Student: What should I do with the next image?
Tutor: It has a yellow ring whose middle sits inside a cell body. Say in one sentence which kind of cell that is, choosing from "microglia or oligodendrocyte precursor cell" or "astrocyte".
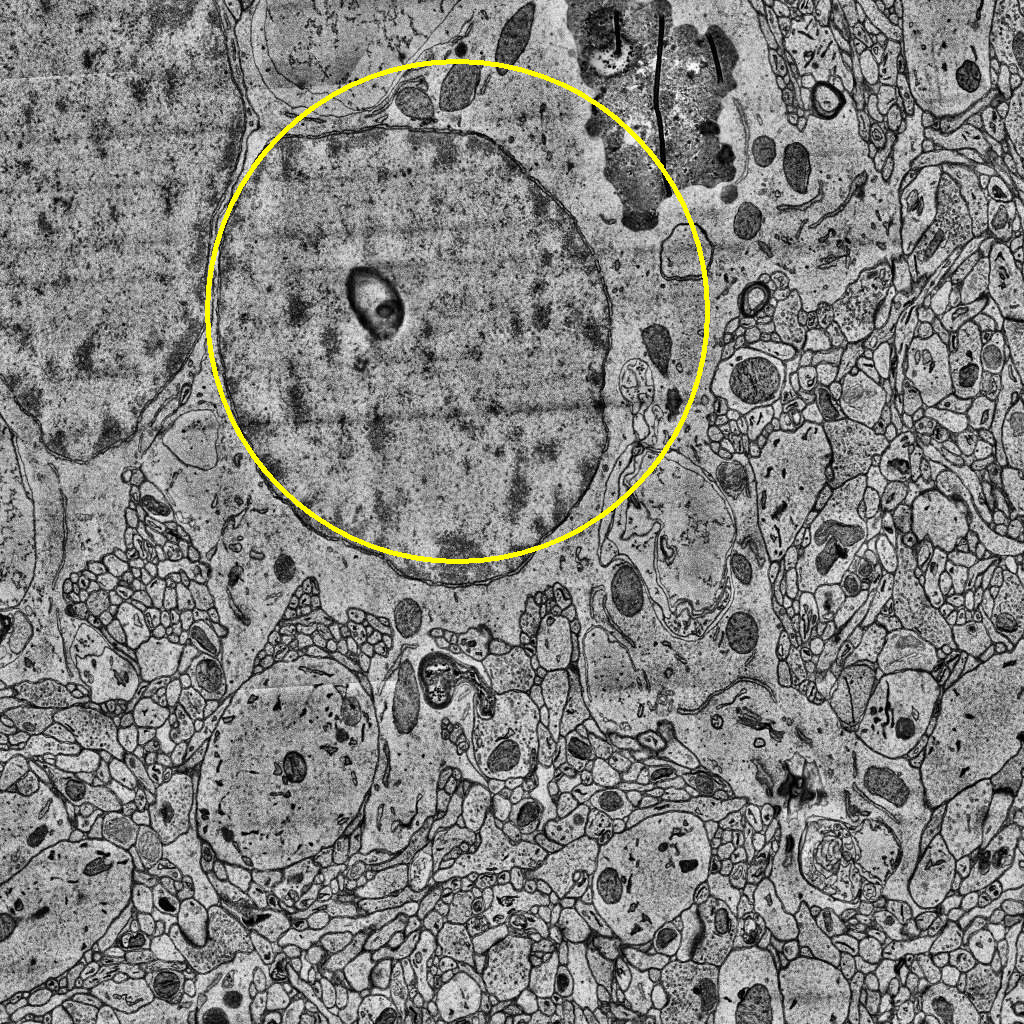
The ring's centre is occupied by an astrocyte.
